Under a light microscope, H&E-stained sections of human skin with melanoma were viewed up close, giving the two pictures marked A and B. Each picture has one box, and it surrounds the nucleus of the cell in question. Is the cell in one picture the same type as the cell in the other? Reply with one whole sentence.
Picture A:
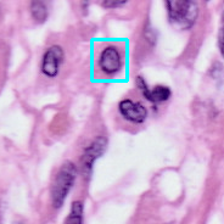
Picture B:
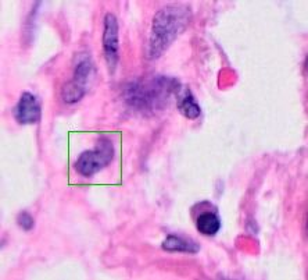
Yes, the two pictures both show “macrophages or monocytes”.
